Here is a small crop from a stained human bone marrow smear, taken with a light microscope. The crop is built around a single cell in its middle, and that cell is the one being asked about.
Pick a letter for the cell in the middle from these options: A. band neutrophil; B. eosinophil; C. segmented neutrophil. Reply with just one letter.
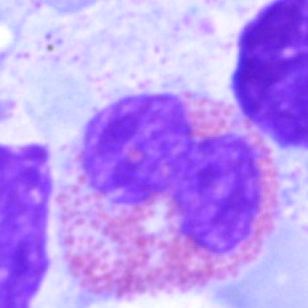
B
